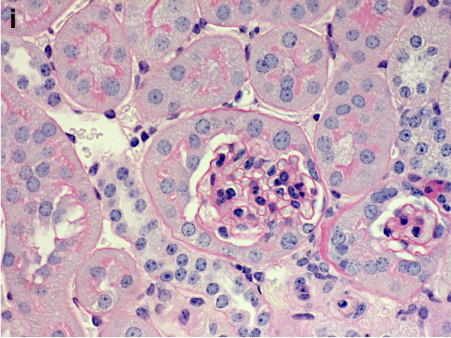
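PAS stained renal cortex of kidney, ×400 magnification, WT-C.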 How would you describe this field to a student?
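The glomerular tuft is a rounded knot of capillary loops with many small dark nuclei, and its basement membranes and matrix are outlined in pink-magenta. The surrounding tubules are lined by cuboidal cells with pale, finely granular cytoplasm and round nuclei, and many have a magenta brush border facing a narrow lumen. Thin pink basement membranes separate neighbouring tubules, and a second, smaller glomerular profile appears at the right edge.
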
